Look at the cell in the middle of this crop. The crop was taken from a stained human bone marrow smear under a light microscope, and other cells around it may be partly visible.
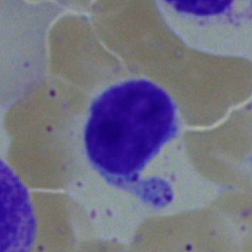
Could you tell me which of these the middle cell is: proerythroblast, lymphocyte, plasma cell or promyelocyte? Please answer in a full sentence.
The cell shown in the center of this light-microscope crop is a lymphocyte.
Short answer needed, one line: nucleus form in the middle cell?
Round, oval or kidney-shaped, the nucleus is one compact mass.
